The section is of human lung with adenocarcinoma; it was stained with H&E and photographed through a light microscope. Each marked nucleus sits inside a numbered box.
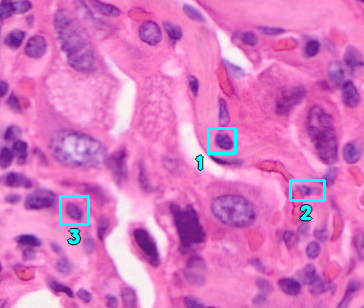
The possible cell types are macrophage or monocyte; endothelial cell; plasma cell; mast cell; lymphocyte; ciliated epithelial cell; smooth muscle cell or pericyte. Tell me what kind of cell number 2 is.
endothelial cell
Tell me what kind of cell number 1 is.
lymphocyte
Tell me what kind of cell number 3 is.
lymphocyte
